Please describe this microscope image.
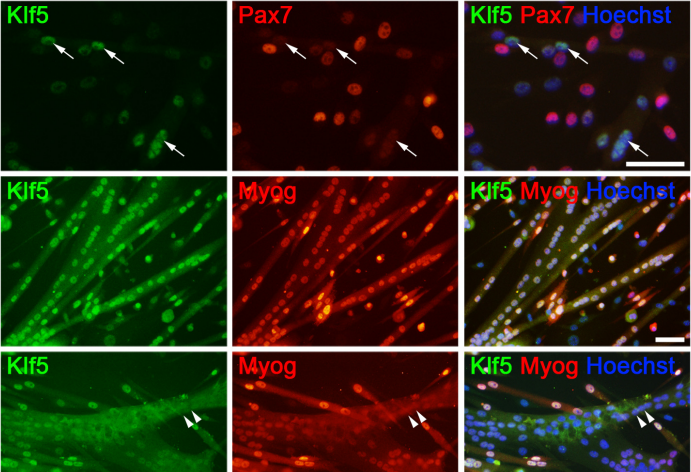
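These are cultured muscle cells, from scattered mononuclear cells to multinucleated myotubes. In the middle row long, thin, parallel myotubes fill the field, each carrying many nuclei in lines, and most nuclei are both green and red. In the bottom row the myotubes are broad and large, with many nuclei gathered in clusters and rows, and the arrowheads mark nuclei inside them whose green is weak.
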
